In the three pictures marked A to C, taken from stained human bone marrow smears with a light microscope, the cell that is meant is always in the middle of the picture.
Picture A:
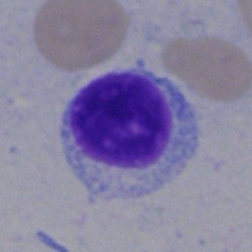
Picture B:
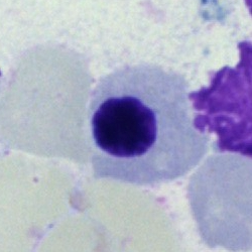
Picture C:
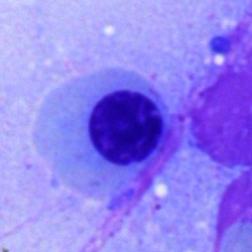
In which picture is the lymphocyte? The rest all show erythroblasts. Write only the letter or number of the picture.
A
